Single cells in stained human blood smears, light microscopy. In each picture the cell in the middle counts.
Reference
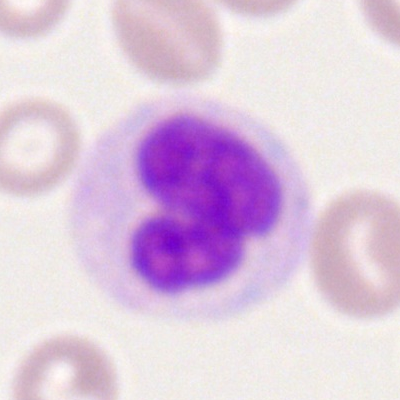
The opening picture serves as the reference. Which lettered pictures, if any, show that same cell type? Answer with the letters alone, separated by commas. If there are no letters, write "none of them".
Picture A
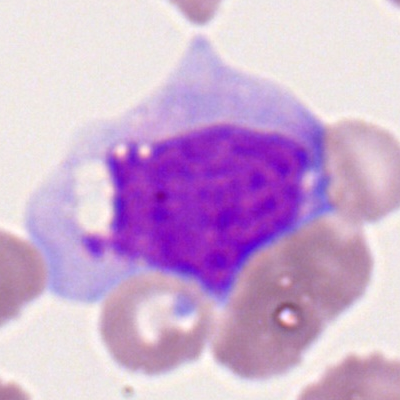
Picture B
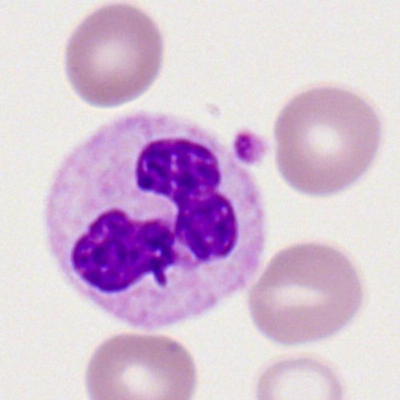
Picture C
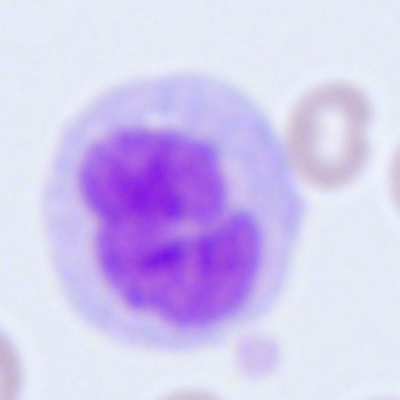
A, C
